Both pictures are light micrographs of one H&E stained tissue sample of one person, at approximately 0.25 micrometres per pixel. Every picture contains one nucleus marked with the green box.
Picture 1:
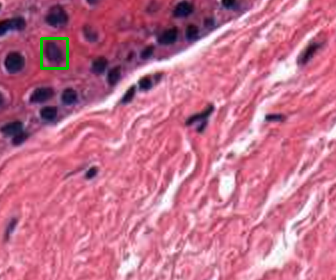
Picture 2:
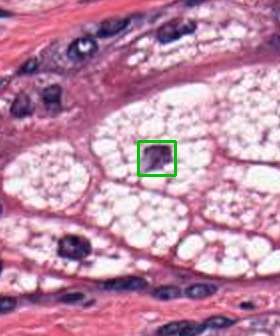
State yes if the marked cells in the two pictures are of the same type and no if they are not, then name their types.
No, the first is a keratinocyte and the second a sebaceous gland cell.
